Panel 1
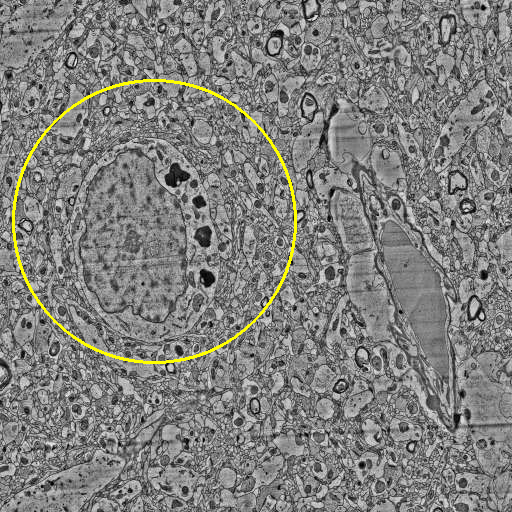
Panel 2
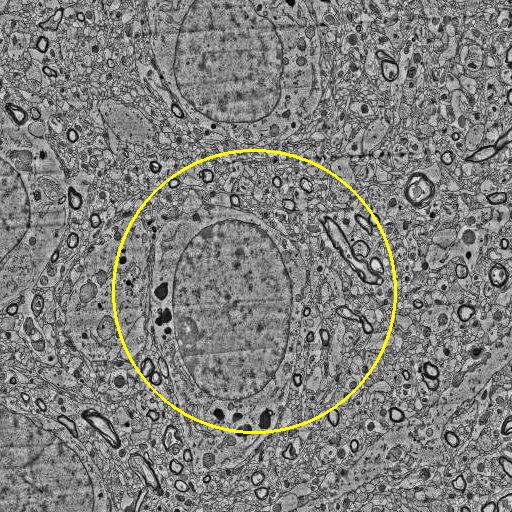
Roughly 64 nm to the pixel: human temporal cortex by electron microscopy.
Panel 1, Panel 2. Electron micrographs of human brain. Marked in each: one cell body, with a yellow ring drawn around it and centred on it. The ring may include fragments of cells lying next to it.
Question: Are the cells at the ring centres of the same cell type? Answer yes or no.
yes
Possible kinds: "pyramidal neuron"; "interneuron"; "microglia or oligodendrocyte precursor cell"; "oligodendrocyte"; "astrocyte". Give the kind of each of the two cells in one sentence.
The cell in the first picture is an interneuron, and so is the one in the second.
